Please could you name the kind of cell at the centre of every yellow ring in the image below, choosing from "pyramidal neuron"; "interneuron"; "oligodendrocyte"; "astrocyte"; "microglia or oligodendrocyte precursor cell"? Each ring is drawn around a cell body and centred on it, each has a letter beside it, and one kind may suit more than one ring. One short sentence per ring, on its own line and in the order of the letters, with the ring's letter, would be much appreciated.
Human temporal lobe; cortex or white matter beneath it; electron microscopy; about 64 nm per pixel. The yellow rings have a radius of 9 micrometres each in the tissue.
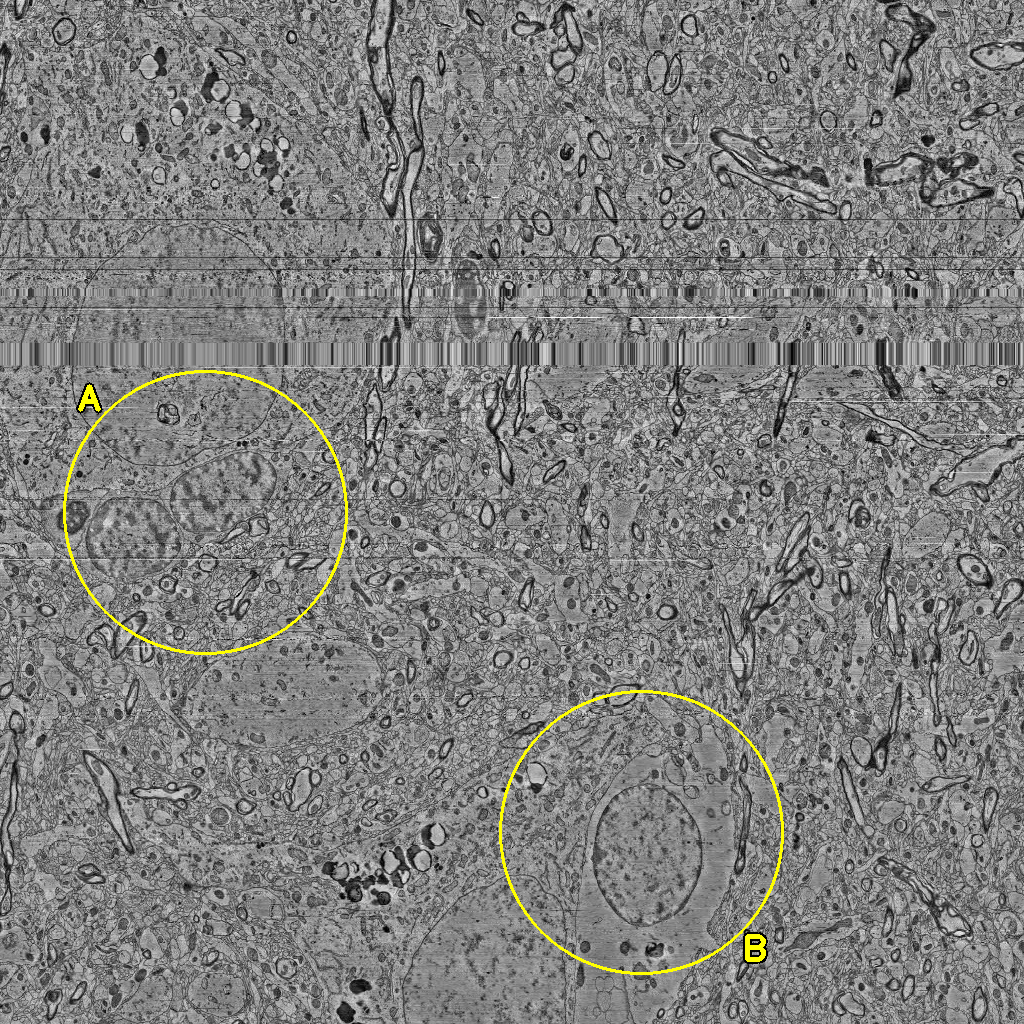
The cell in the middle of ring A is an oligodendrocyte.
The cell in the middle of ring B is an astrocyte.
